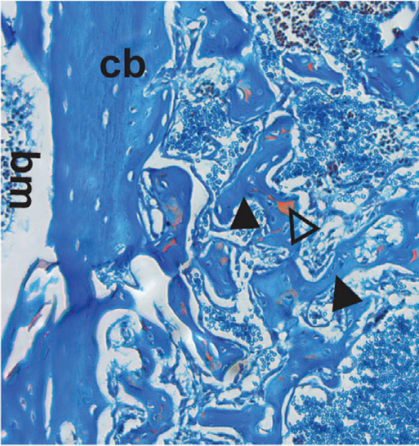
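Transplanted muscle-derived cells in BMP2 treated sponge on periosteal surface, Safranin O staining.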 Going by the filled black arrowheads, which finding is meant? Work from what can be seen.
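Bone formation. These trabeculae lie beside the thick blue cortical plate on the left.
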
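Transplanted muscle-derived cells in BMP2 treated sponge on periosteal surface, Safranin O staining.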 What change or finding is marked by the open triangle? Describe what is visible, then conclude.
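The open triangle points to a region with red-orange stained material amid blue tissue.
Hence: cartilage formation.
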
